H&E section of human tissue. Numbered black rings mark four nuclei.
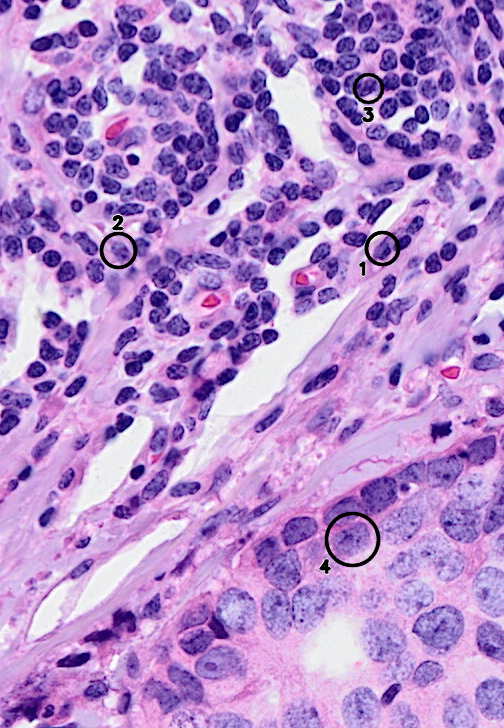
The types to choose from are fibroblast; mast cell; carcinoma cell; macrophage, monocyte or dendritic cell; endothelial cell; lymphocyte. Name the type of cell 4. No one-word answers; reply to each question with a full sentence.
Marked with the number 4, this cell is a carcinoma cell.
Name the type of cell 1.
As for number 1, that cell is a lymphocyte.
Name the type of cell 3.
Recognised here as a lymphocyte is the cell numbered 3.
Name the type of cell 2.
The cell that goes by number 2 is a lymphocyte.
